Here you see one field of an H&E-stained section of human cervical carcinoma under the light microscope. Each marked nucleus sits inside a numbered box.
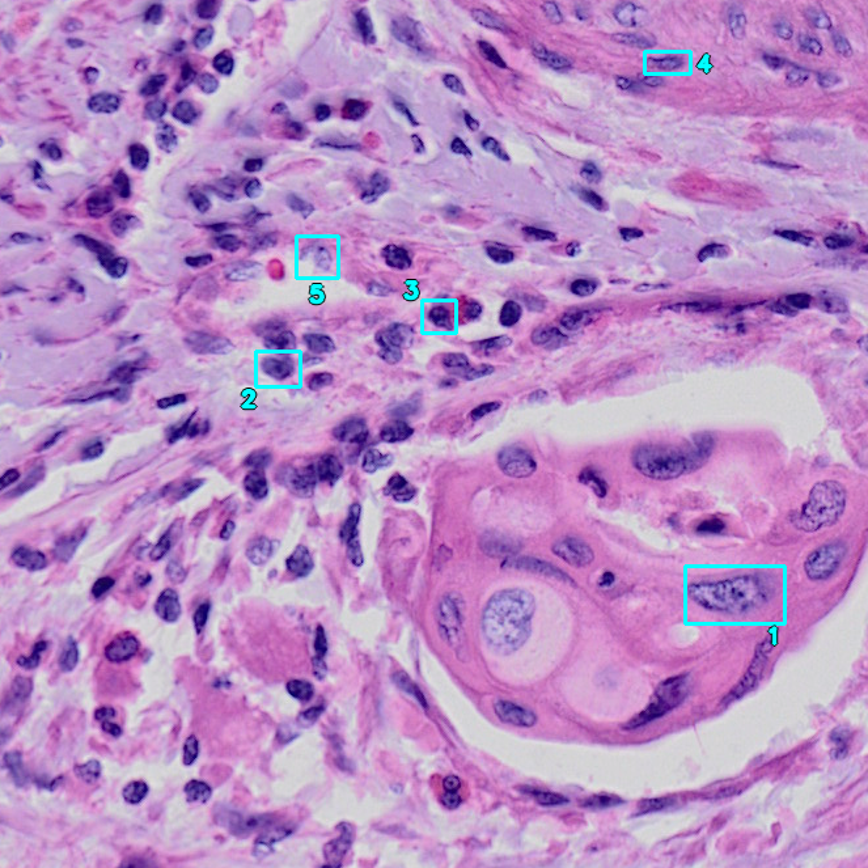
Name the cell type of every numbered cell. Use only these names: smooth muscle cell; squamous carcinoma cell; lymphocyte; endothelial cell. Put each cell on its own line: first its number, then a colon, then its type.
1: squamous carcinoma cell
2: lymphocyte
3: lymphocyte
4: smooth muscle cell
5: endothelial cell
